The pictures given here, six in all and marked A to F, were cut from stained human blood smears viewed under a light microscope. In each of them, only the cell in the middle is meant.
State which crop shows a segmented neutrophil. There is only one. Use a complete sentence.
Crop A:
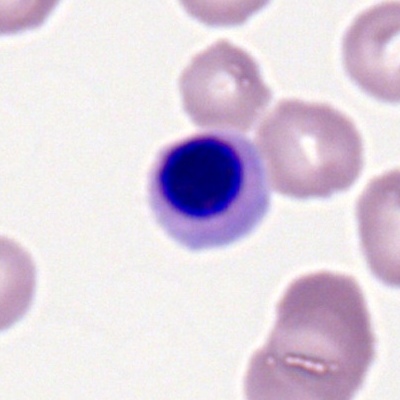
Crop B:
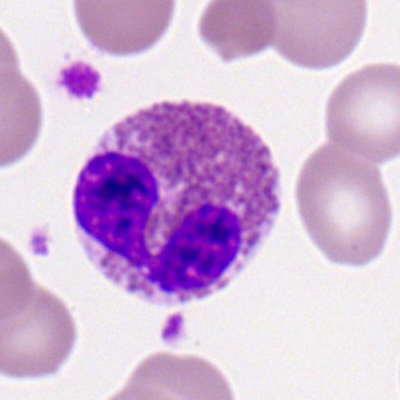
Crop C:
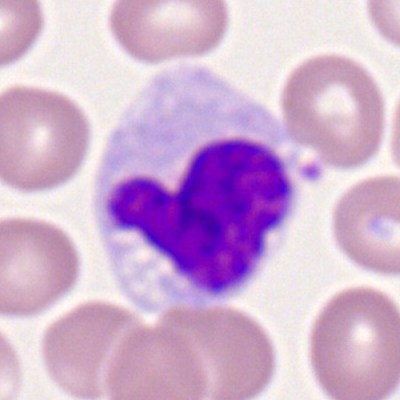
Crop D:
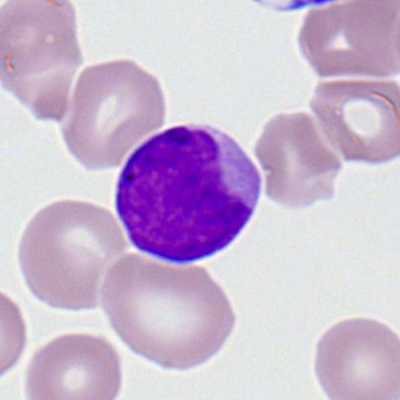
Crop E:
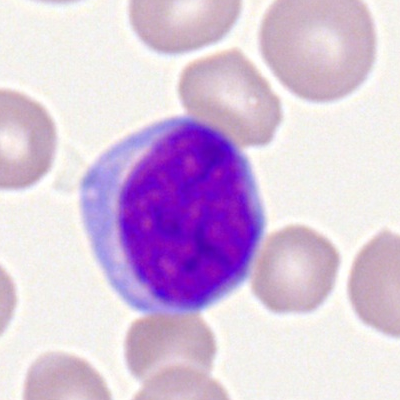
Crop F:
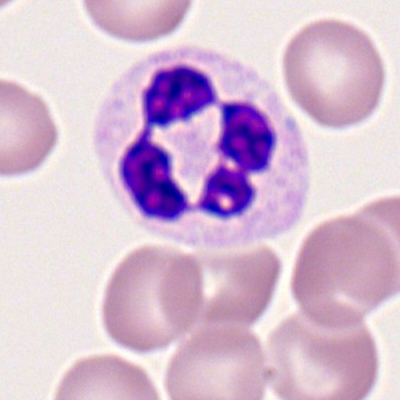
The one crop in the set with a segmented neutrophil is crop F.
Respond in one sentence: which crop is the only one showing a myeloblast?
It is in crop D that a myeloblast is shown.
